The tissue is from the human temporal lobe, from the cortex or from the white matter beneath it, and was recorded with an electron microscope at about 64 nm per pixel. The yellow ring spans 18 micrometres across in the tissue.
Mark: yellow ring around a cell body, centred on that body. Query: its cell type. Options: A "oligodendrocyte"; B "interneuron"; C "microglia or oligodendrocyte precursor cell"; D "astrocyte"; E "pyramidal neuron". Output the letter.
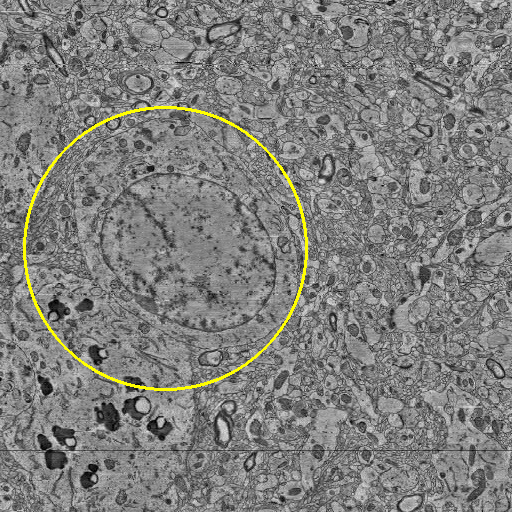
E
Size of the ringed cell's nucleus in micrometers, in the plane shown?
The ringed cell's nucleus is about 12 micrometres long and 9 micrometres wide in this plane.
